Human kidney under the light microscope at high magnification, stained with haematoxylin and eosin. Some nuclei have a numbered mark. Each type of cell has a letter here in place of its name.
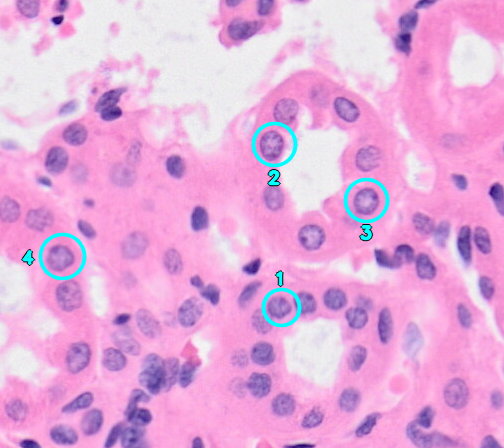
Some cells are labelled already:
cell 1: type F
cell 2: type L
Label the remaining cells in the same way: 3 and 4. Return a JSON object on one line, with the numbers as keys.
{"3": "type L", "4": "type L"}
